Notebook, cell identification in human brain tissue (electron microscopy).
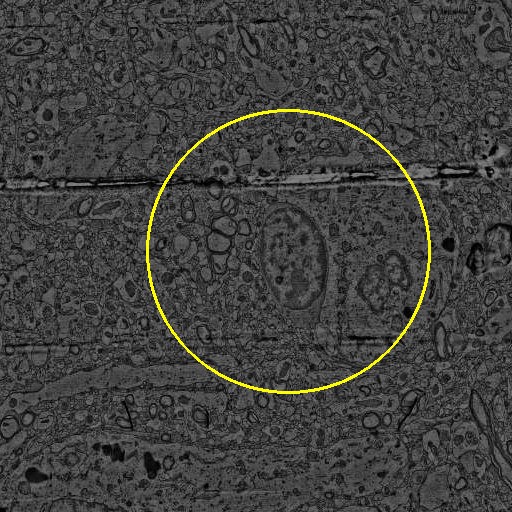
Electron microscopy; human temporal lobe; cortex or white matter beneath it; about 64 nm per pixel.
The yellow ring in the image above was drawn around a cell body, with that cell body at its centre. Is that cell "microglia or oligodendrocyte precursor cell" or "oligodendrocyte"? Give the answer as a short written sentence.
The cell in the ring is an oligodendrocyte.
